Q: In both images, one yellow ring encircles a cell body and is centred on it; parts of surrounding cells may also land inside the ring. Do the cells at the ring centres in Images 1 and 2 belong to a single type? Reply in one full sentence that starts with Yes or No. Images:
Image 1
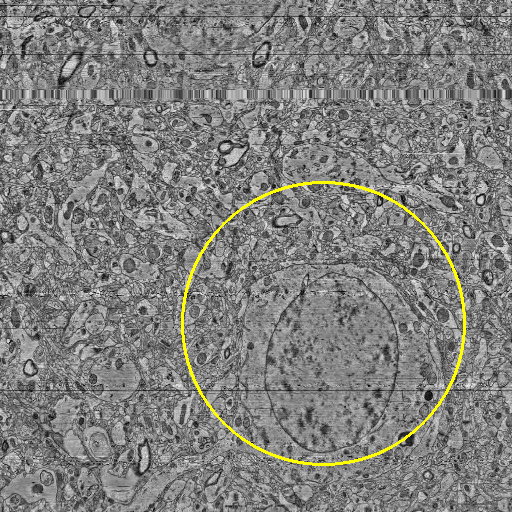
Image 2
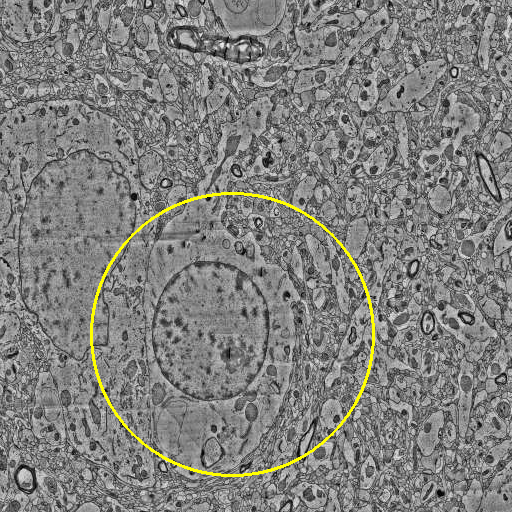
No, the cells at the ring centres in Images 1 and 2 are of two types.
